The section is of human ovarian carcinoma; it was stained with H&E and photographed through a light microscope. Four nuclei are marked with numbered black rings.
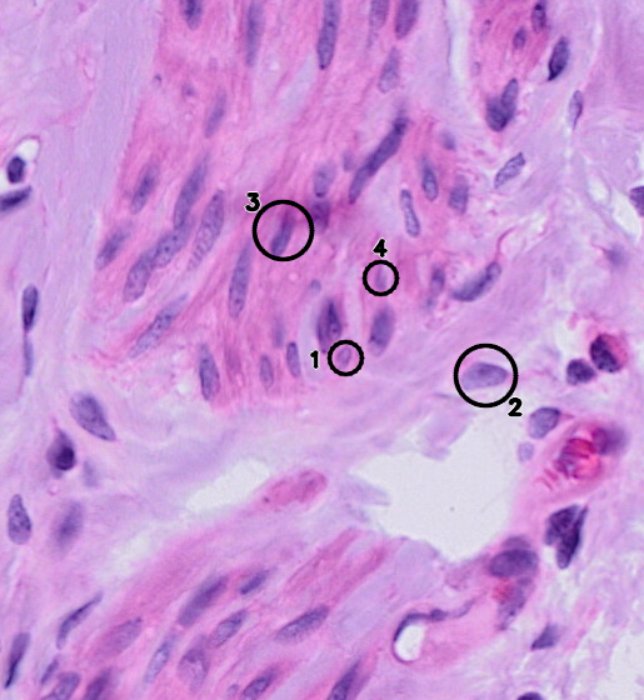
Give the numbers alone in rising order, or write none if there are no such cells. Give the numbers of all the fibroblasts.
2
